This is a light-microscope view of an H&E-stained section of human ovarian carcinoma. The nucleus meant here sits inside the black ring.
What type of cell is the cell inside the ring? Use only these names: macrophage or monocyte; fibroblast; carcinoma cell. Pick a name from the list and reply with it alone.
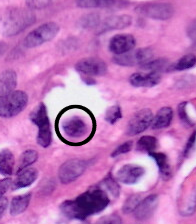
carcinoma cell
